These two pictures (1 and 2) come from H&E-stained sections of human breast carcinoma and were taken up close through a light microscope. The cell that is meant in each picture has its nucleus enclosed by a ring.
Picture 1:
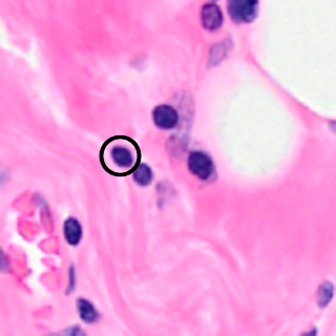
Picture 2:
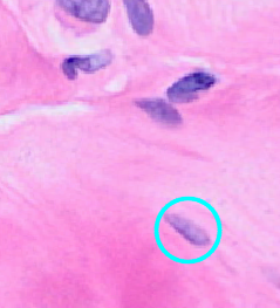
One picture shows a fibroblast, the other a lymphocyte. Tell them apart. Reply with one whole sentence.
The cell in picture 1 is a lymphocyte, and the one in picture 2 is a fibroblast.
